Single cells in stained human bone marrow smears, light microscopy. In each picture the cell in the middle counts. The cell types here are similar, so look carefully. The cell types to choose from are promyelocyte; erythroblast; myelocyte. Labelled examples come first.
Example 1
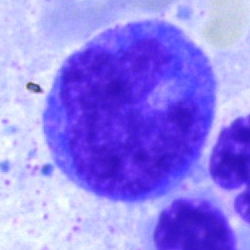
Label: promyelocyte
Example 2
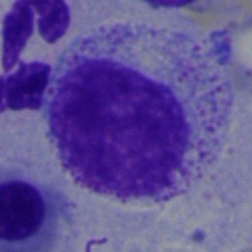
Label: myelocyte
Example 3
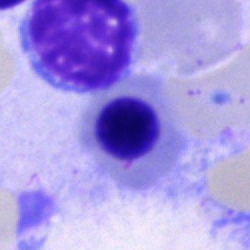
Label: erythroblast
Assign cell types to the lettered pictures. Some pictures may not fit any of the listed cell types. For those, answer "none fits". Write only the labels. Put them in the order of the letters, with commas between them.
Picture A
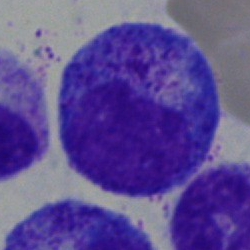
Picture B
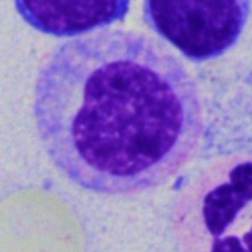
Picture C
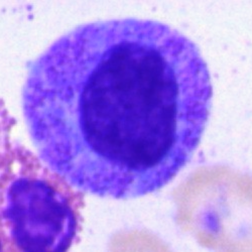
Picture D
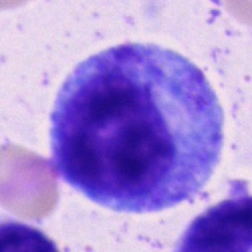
promyelocyte, myelocyte, promyelocyte, promyelocyte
